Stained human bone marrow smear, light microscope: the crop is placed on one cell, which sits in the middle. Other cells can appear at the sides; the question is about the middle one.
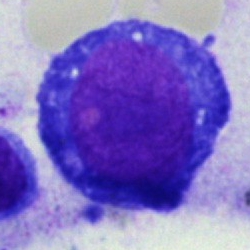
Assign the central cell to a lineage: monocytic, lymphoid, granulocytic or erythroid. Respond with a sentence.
The cell at the center of the crop derives from the erythroid lineage.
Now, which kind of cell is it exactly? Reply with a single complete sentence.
The cell at the central position in this crop is a proerythroblast.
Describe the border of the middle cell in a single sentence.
The cell membrane follows an uneven contour, either ragged or bearing projections.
